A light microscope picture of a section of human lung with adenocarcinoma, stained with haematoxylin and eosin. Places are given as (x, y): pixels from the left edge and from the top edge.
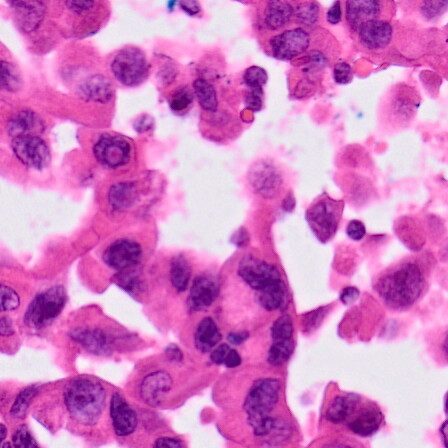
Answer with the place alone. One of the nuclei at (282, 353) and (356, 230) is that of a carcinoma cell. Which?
(282, 353)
